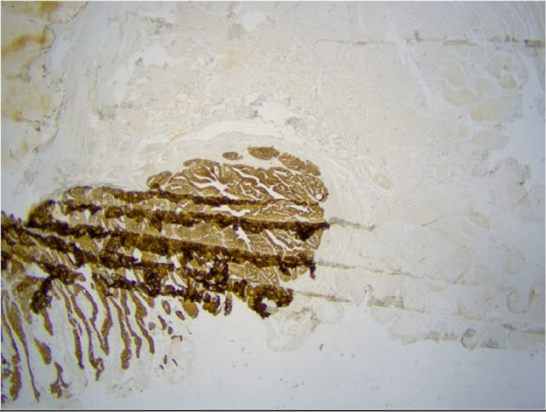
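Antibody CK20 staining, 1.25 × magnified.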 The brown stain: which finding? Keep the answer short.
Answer: intestinal type adenocarcinoma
